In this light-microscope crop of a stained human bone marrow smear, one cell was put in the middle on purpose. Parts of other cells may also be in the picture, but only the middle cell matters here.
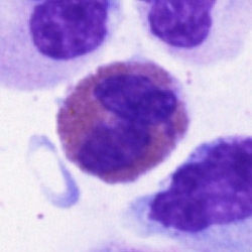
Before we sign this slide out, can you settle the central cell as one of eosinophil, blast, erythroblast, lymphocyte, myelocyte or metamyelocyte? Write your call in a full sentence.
By type, the central cell of the crop is an eosinophil.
